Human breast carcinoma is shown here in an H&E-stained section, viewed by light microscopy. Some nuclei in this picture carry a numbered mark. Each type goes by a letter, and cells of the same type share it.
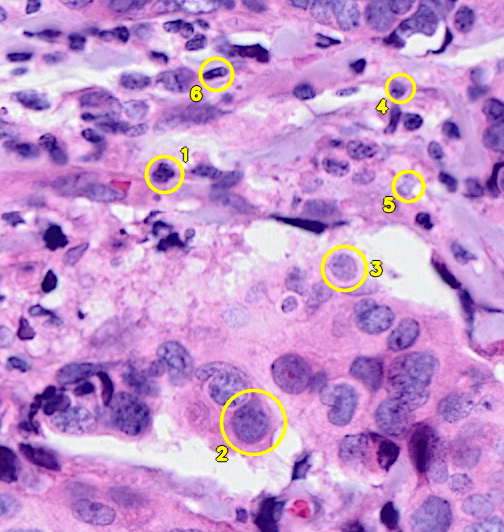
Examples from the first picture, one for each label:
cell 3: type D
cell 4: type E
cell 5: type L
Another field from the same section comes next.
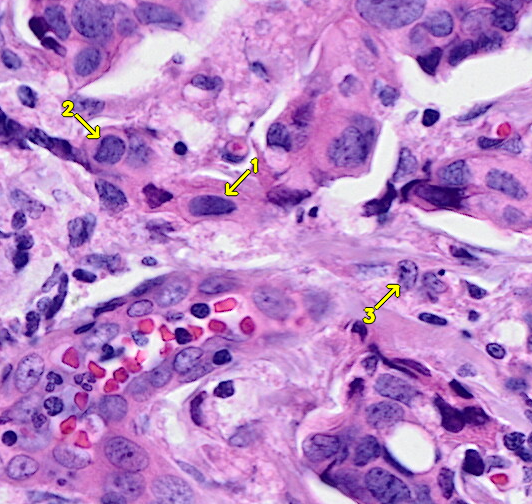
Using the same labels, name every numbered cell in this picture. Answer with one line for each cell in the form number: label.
1: type D
2: type D
3: type L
